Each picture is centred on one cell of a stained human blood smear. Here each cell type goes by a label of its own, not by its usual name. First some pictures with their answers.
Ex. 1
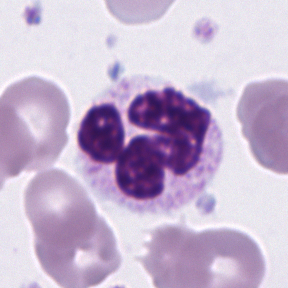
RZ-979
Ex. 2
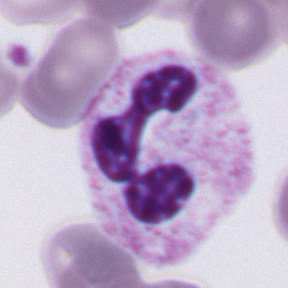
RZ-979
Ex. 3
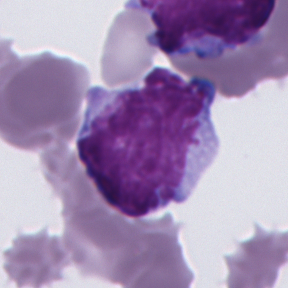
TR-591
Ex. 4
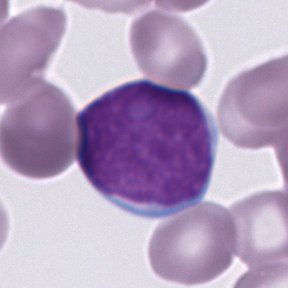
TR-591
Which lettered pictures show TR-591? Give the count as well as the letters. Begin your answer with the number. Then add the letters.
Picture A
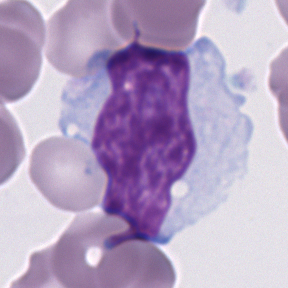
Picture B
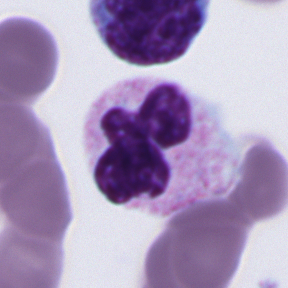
1: A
